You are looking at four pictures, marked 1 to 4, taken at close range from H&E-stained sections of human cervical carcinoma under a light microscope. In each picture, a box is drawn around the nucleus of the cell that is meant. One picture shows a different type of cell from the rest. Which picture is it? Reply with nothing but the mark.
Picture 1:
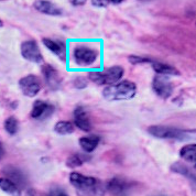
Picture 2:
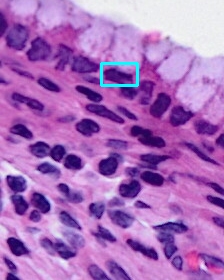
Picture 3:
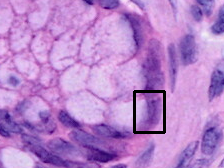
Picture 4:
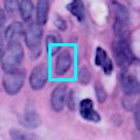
1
